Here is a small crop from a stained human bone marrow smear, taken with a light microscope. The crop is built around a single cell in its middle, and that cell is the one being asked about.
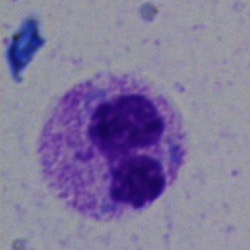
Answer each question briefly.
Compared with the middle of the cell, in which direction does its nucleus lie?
right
